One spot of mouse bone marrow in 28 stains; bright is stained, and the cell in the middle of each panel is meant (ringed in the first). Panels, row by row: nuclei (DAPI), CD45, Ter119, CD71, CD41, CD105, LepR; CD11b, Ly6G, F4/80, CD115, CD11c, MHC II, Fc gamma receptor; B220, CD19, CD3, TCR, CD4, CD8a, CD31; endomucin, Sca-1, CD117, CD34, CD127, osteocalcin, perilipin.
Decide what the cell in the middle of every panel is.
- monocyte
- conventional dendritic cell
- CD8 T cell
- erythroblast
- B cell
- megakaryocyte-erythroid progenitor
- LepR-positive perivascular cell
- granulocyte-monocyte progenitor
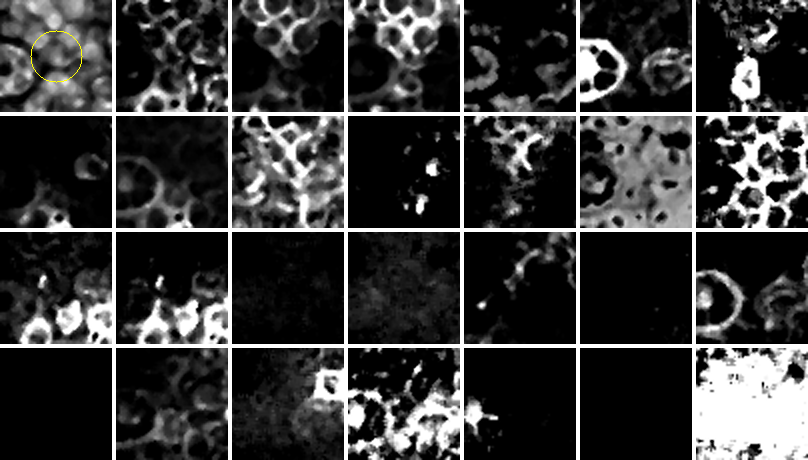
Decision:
conventional dendritic cell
